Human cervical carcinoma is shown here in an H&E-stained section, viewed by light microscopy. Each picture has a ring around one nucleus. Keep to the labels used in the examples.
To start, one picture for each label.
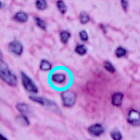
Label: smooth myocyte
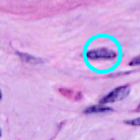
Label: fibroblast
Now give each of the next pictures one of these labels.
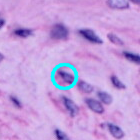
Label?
smooth myocyte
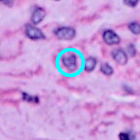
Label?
smooth myocyte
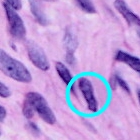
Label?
fibroblast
